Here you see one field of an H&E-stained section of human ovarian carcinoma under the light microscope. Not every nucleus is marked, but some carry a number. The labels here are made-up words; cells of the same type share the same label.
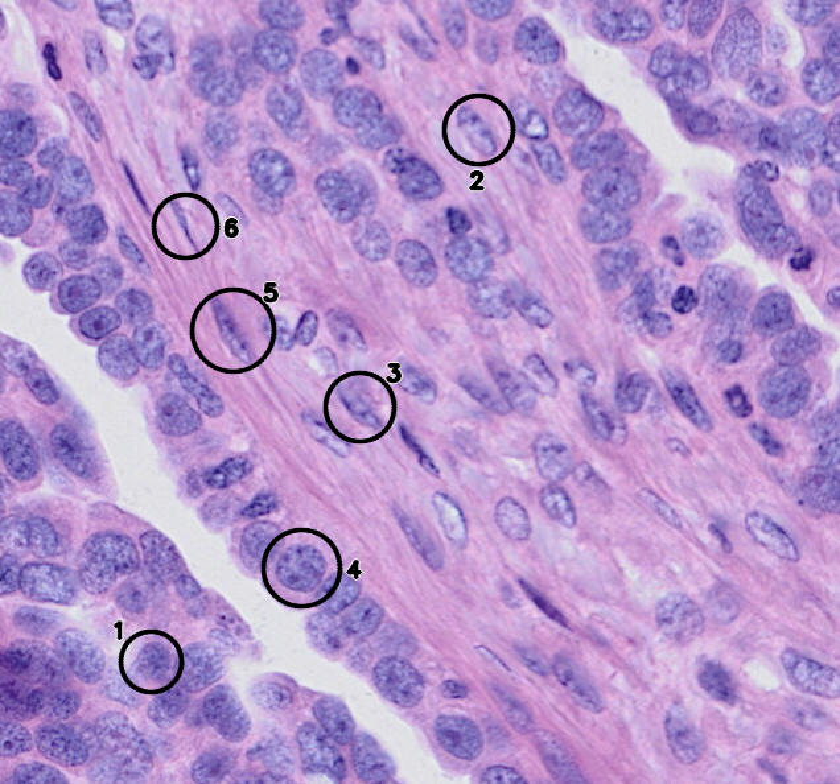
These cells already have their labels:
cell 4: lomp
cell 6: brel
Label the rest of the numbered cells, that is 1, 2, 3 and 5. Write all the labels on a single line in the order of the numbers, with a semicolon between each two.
lomp; brel; brel; brel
